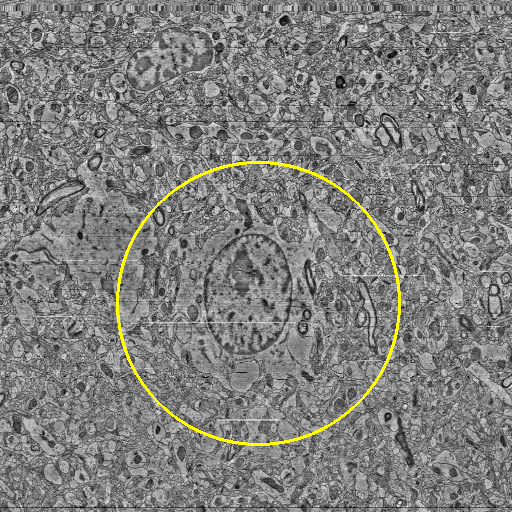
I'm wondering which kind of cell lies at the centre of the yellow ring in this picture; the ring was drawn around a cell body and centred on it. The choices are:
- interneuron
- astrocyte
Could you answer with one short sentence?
At the centre of the ring lies an astrocyte.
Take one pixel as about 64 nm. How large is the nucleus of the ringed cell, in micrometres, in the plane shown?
In this plane the nucleus spans approximately 8 by 6 micrometers.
